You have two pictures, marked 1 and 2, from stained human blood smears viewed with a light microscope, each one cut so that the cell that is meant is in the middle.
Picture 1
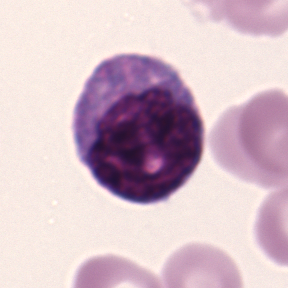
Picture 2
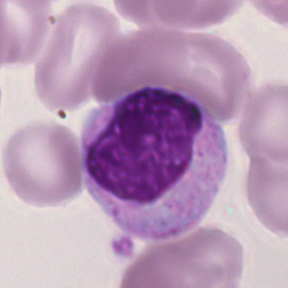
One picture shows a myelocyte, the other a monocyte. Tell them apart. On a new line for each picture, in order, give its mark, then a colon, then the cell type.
1: monocyte
2: myelocyte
